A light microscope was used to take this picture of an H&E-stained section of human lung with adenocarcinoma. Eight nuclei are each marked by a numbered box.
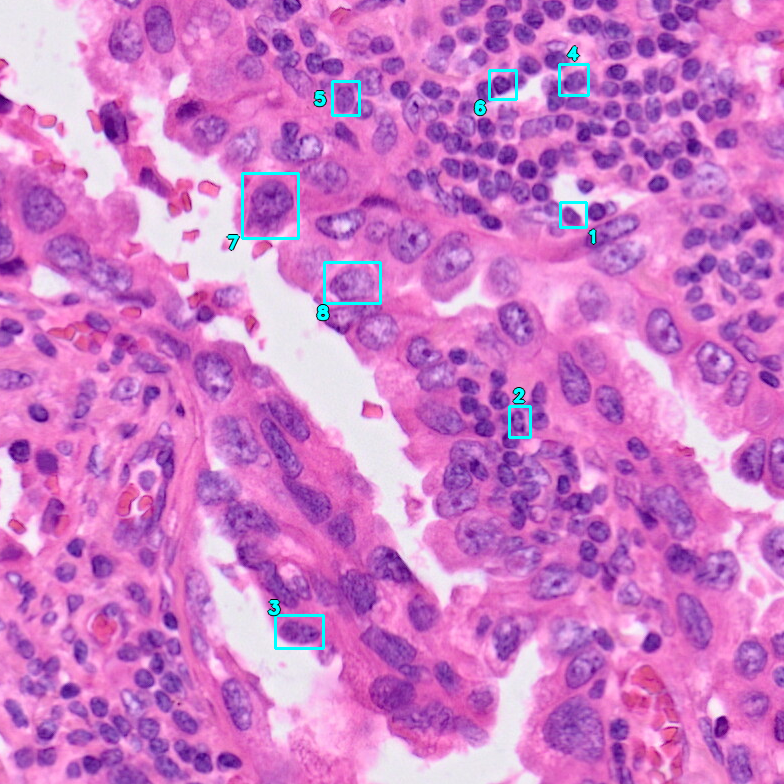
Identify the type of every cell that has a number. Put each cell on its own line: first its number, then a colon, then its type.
1: lymphocyte
2: lymphocyte
3: carcinoma cell
4: lymphocyte
5: lymphocyte
6: lymphocyte
7: carcinoma cell
8: carcinoma cell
